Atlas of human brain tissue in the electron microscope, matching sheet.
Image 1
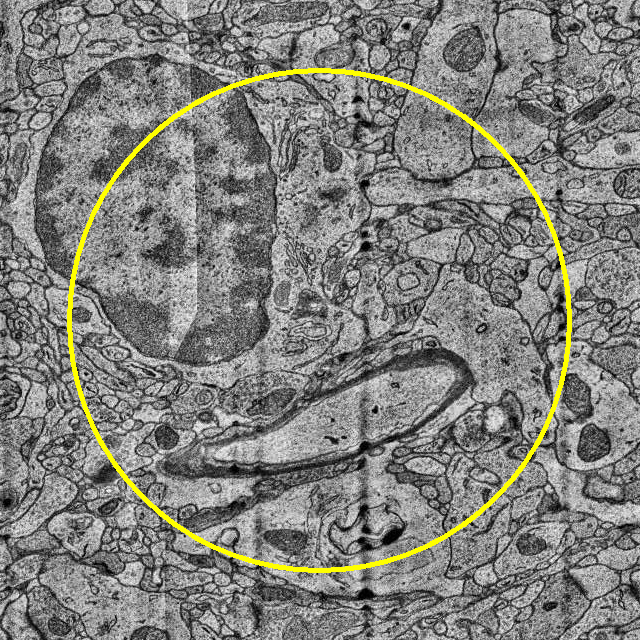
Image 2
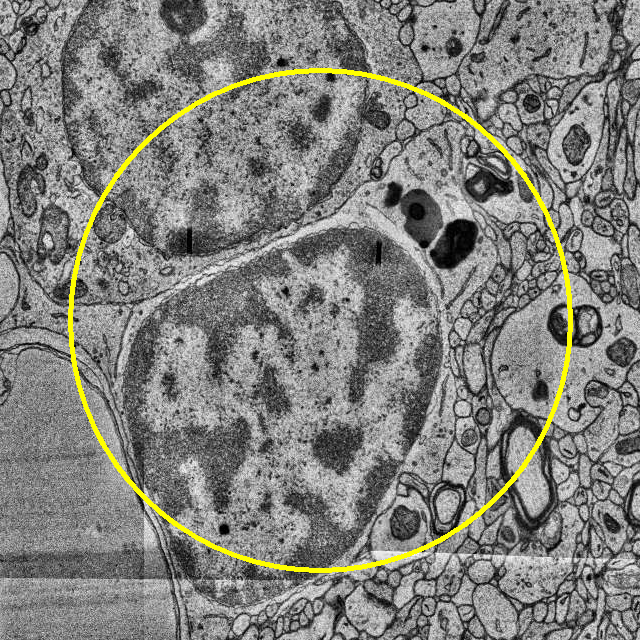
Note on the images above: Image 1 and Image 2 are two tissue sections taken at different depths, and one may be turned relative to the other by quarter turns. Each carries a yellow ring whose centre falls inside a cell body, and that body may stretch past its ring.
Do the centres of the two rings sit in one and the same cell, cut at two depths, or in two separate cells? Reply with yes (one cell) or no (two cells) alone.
no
